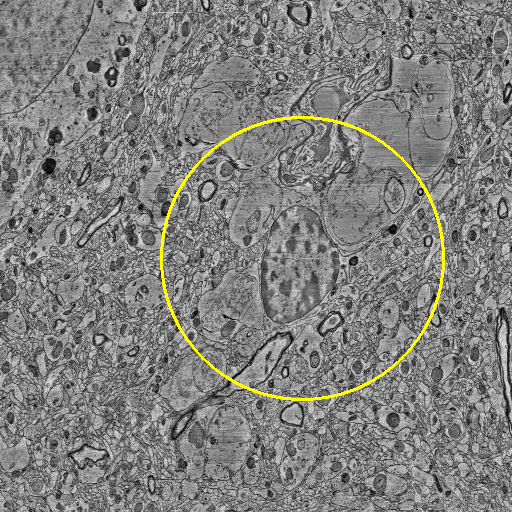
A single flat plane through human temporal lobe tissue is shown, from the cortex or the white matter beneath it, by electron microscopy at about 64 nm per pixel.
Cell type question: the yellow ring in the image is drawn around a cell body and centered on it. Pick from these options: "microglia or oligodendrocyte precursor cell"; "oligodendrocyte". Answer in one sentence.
The ringed cell at the center is a microglial cell or oligodendrocyte precursor cell.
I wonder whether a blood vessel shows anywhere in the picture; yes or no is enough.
Yes, a vessel appears in the picture.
